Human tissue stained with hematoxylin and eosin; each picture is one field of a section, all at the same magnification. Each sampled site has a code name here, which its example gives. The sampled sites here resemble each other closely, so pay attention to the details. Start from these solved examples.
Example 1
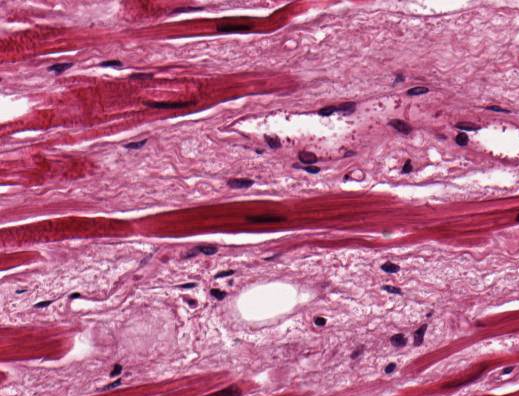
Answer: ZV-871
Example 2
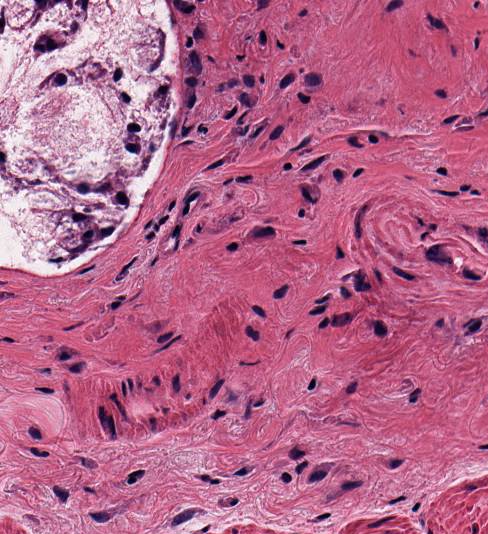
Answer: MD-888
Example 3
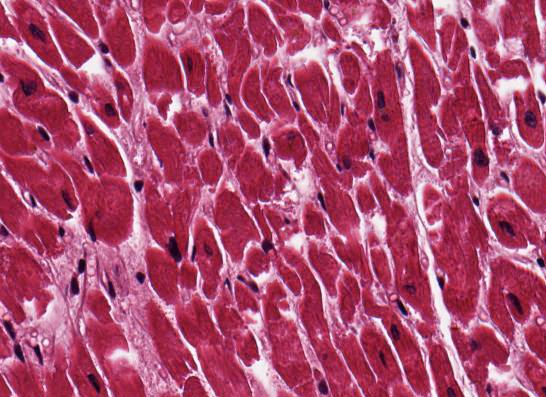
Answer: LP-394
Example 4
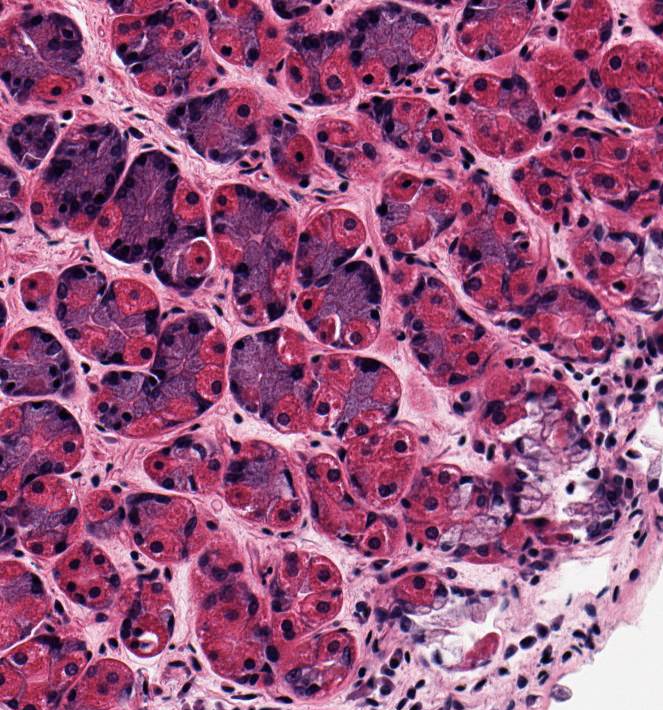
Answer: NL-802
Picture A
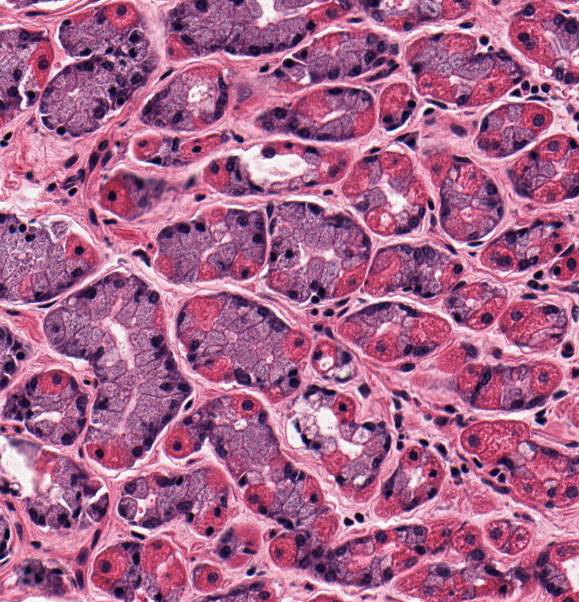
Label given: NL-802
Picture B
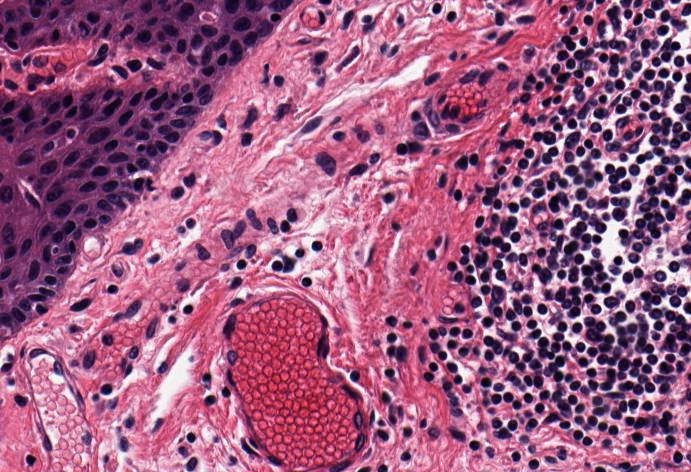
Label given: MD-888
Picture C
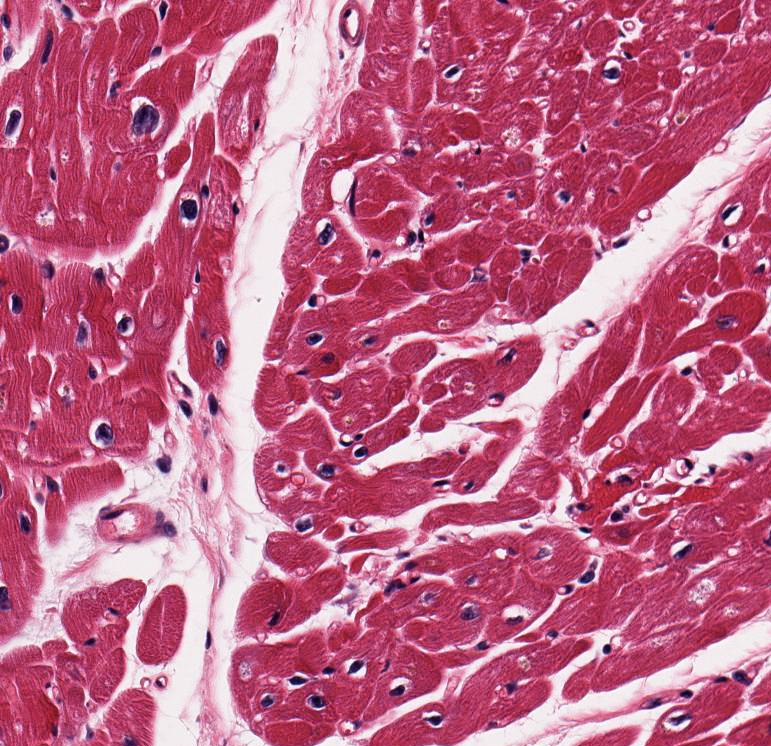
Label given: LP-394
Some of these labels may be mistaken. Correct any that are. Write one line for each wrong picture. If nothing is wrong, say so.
None of the labels needs changing.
